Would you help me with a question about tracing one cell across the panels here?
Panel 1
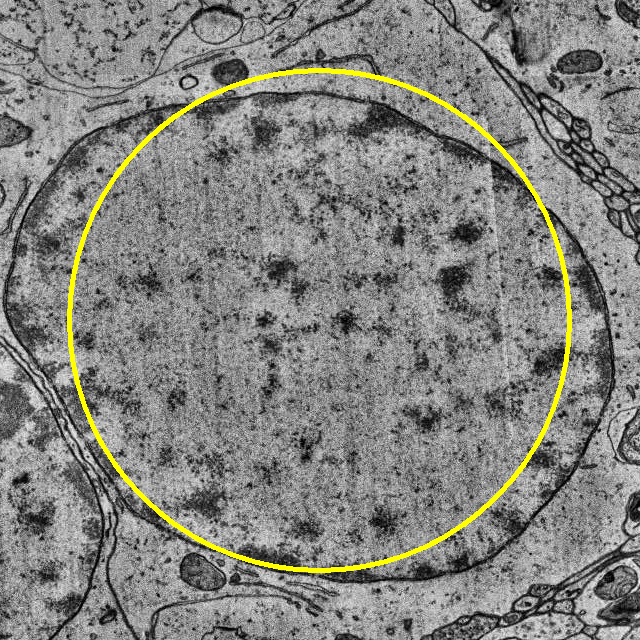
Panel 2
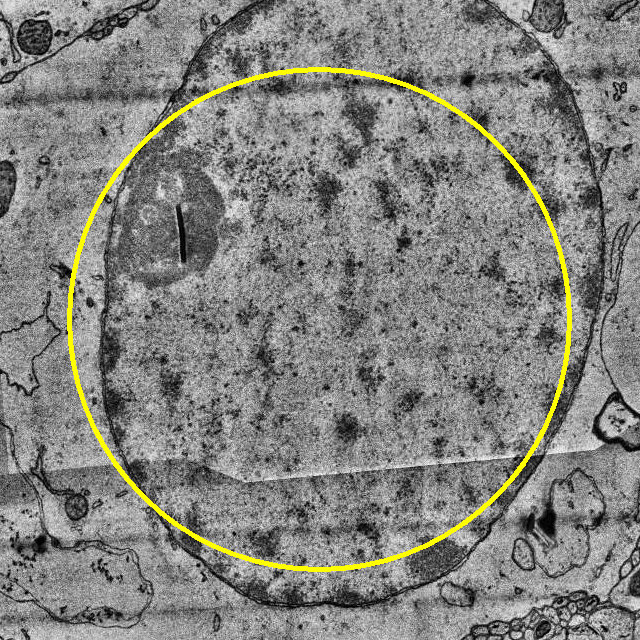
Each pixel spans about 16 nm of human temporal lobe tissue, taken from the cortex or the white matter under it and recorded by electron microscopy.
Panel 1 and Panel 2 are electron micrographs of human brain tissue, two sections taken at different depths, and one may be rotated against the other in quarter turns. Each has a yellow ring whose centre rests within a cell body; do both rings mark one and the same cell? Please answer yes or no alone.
no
